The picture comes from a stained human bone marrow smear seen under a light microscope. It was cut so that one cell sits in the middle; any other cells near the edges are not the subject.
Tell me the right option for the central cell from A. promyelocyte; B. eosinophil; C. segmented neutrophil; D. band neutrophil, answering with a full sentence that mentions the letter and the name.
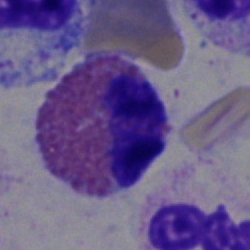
Answer key: option B, the middle cell being an eosinophil.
